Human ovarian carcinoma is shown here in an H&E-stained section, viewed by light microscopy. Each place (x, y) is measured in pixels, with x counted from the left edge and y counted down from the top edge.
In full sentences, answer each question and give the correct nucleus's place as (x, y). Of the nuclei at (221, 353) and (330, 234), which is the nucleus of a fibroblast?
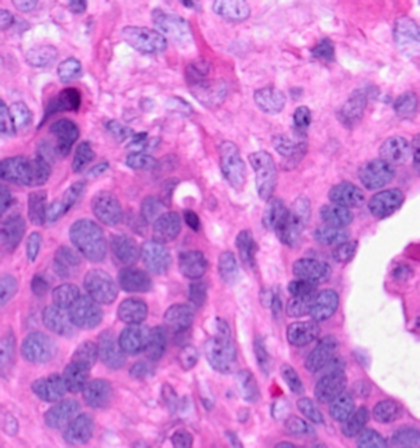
It is the nucleus at (221, 353), not the other one, that belongs to a fibroblast.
